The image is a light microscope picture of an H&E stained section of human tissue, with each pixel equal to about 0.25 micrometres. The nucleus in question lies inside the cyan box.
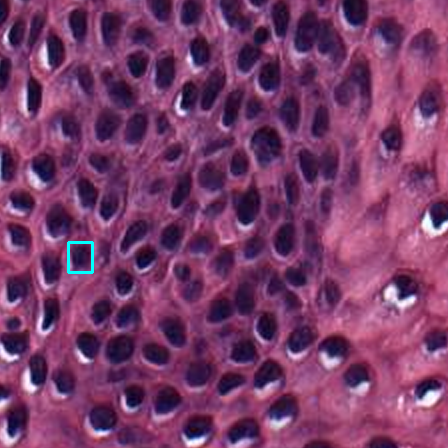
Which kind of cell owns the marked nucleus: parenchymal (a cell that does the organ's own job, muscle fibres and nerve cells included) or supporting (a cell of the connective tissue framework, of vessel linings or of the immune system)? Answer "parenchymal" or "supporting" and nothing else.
parenchymal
